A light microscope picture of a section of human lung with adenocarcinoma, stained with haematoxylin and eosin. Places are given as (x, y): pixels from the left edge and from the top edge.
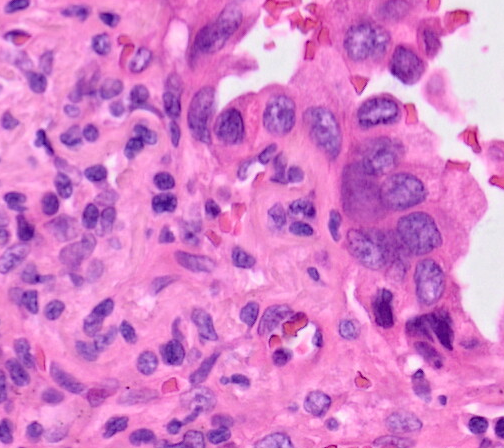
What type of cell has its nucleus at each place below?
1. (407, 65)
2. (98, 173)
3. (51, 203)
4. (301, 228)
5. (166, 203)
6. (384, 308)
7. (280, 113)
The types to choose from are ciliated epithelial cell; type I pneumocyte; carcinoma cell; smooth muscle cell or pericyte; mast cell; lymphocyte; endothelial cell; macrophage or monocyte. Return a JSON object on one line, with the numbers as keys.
{"1": "carcinoma cell", "2": "lymphocyte", "3": "lymphocyte", "4": "lymphocyte", "5": "lymphocyte", "6": "carcinoma cell", "7": "carcinoma cell"}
